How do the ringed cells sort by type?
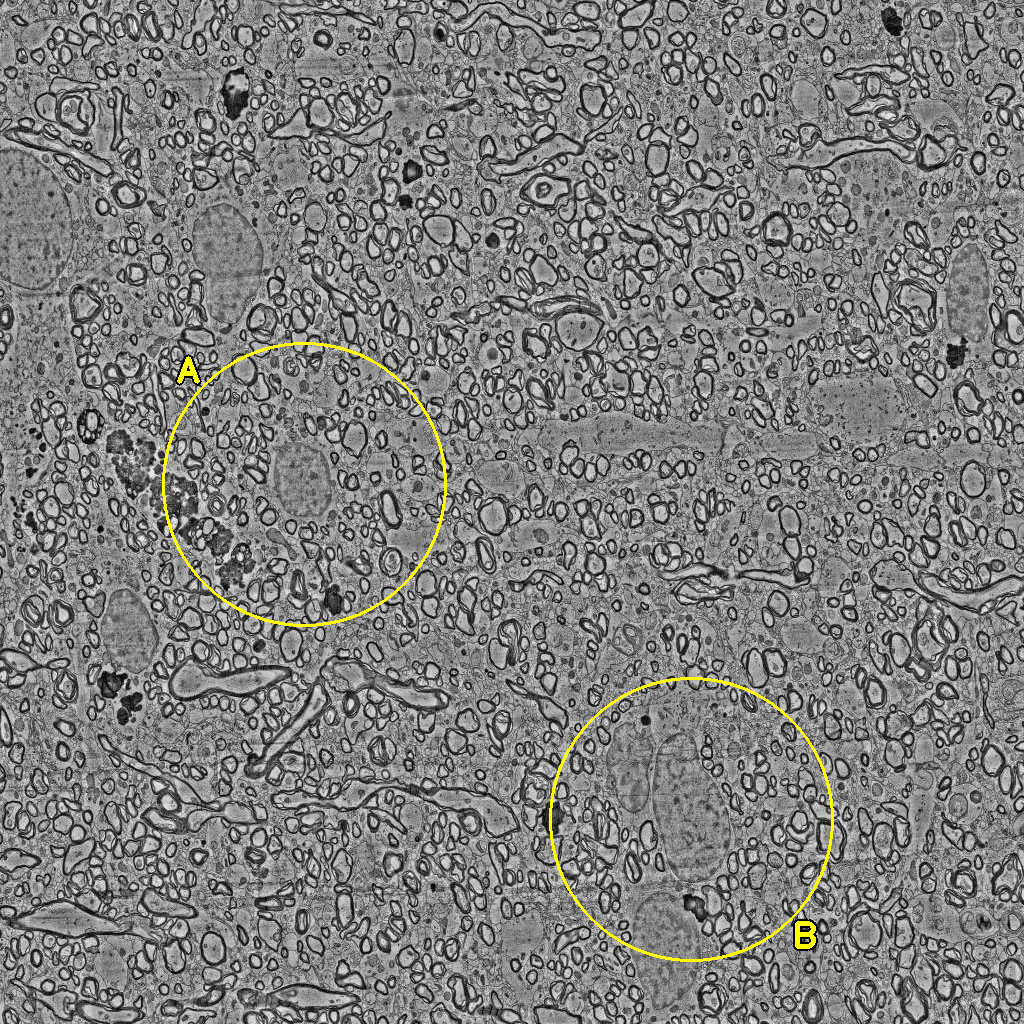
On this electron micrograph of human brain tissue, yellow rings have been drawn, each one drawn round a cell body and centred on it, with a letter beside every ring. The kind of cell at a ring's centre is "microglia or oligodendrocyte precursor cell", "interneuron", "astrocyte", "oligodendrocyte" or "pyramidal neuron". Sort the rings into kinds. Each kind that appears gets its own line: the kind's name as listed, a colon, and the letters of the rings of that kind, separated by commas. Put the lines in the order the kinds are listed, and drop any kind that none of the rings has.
microglia or oligodendrocyte precursor cell: B
oligodendrocyte: A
